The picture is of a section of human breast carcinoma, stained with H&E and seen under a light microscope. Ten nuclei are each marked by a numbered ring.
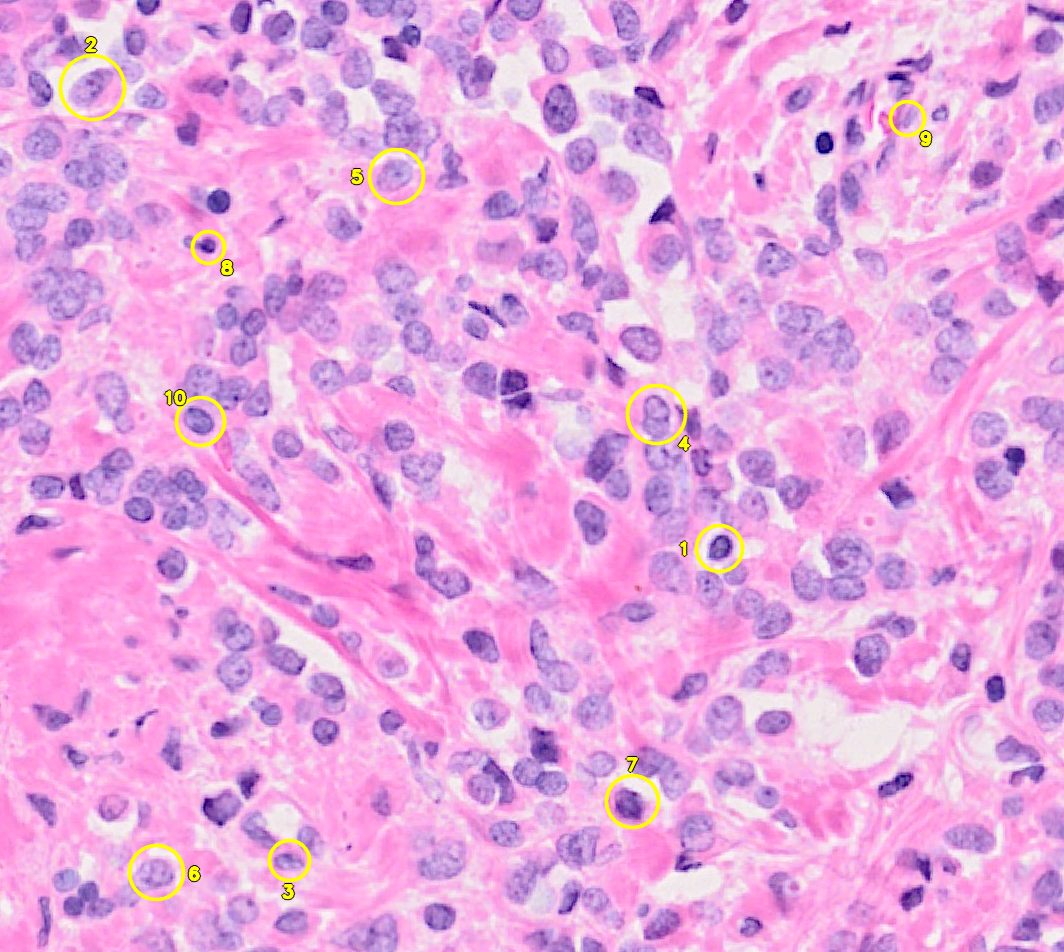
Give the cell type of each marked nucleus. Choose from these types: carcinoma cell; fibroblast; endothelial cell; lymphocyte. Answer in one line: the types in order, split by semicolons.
lymphocyte; carcinoma cell; endothelial cell; carcinoma cell; carcinoma cell; carcinoma cell; carcinoma cell; lymphocyte; endothelial cell; carcinoma cell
